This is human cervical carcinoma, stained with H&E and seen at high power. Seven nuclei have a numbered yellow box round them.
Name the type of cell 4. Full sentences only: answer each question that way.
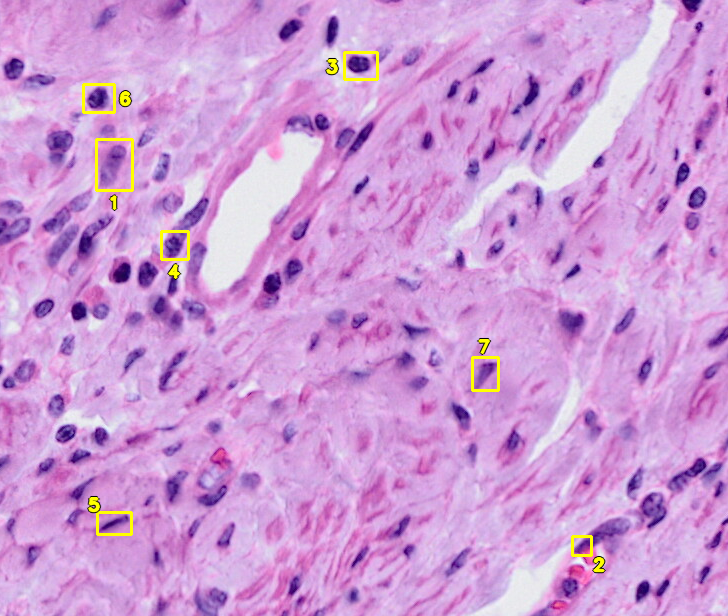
The cell that goes by number 4 is a lymphocyte.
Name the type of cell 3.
The cell that is numbered 3 is a lymphocyte.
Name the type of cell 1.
The cell indicated by marker 1 is a macrophage or monocyte in this section.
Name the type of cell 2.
The cell that carries the label 2 is an endothelial cell.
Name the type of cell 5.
The correct answer for cell 5 is a fibroblast.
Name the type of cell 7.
What the number 7 marks in this field is a fibroblast.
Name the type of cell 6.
In this section, the cell numbered 6 is a lymphocyte.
